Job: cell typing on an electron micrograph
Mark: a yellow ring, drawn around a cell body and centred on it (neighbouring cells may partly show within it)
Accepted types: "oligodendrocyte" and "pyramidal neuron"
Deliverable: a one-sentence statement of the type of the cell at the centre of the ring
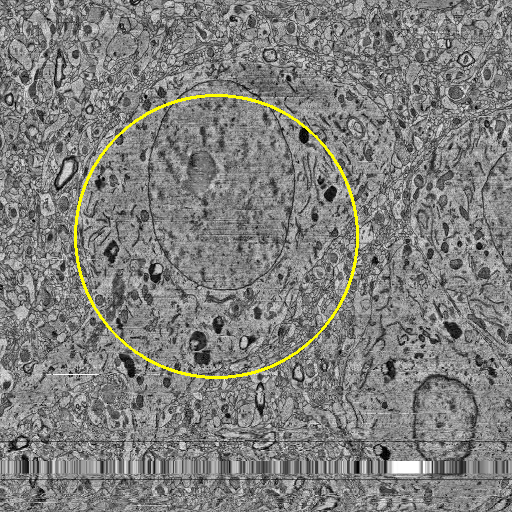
The centred cell body is that of a pyramidal neuron.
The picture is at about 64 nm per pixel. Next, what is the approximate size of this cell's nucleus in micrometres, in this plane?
About 15 by 10 micrometers in this plane, so the nucleus is clearly longer than it is wide.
